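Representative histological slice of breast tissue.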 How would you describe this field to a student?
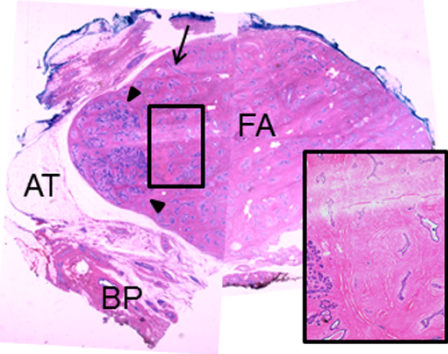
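This low-power section shows a large, well-circumscribed pink mass of dense stroma containing many small, elongated and branching duct-like spaces. A paler, loosely textured rim of fatty tissue borders it on the left, with a more fibrous and cellular strip below, and a darker blue-purple cellular zone lines part of the mass's left margin. The enlarged inset shows the pink fibrous stroma with thin slit-like ducts coursing through it.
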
